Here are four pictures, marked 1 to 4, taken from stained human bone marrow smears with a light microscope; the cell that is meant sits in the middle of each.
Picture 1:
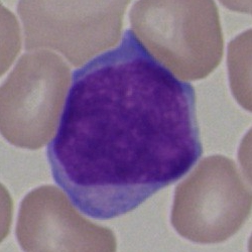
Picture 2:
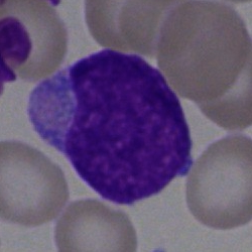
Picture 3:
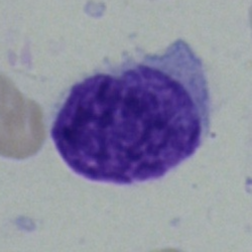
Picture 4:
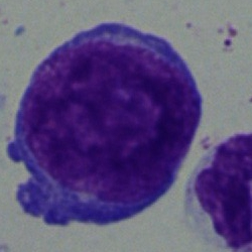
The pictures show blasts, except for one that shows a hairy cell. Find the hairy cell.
3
